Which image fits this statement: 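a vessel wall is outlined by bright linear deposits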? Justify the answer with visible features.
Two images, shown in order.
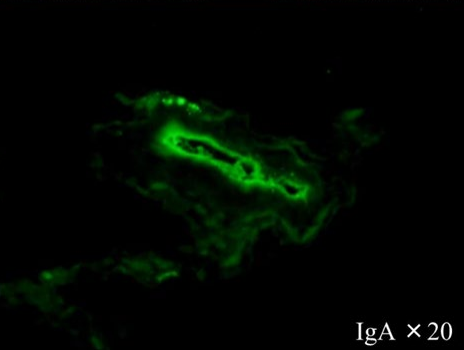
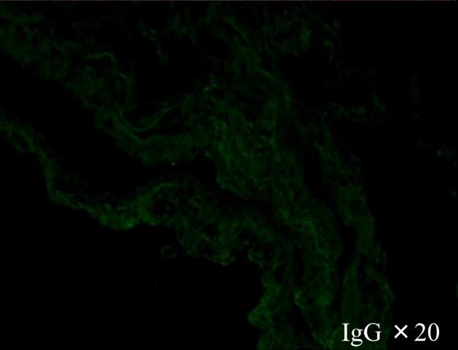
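The first image. Second image: only dim, diffuse green background in the tissue, no bright band. First image: an intense green band lines an elongated vessel lumen.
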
